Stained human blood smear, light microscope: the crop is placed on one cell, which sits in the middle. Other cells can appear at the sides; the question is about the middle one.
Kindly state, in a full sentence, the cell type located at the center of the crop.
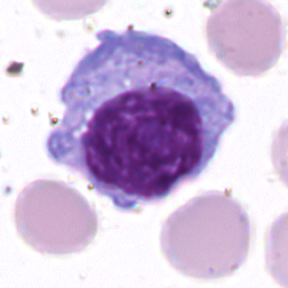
To answer, the cell in the center of the crop is a plasma cell.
